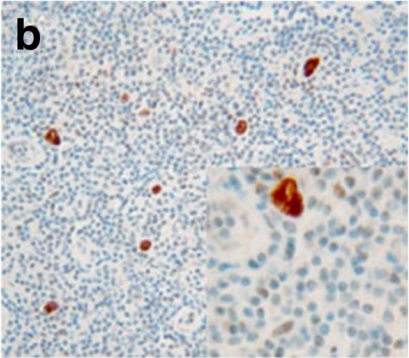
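Scattered among them lie a few single large cells that are stained intensely brown. In the enlarged inset one such large cell stands out with a dark brown, irregular nucleus and brown cytoplasm, far bigger than the small unstained cells around it. The small background cells remain almost entirely unstained.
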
